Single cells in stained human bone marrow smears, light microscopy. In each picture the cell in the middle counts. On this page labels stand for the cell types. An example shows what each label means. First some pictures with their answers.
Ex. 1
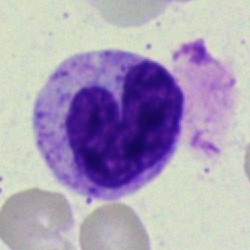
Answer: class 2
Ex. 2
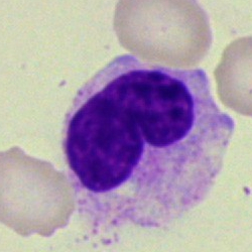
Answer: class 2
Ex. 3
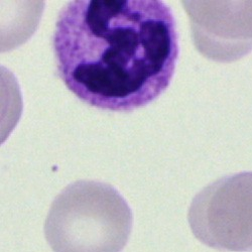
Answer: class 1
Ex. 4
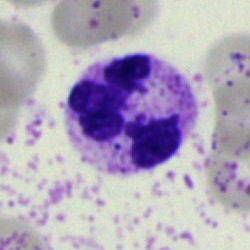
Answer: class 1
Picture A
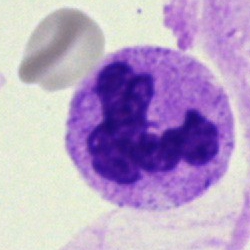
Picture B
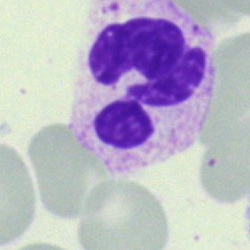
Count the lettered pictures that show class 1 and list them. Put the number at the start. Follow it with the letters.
Count: 2 (A, B)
